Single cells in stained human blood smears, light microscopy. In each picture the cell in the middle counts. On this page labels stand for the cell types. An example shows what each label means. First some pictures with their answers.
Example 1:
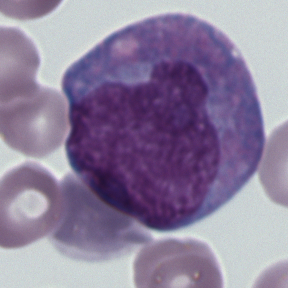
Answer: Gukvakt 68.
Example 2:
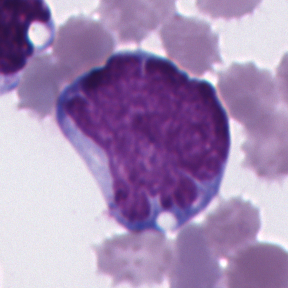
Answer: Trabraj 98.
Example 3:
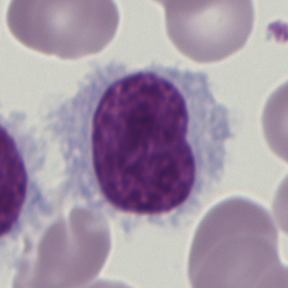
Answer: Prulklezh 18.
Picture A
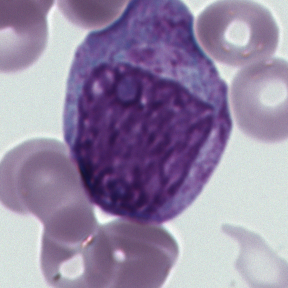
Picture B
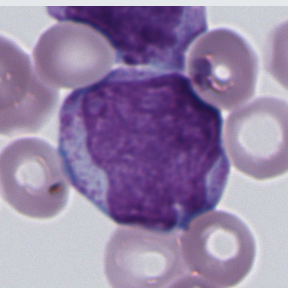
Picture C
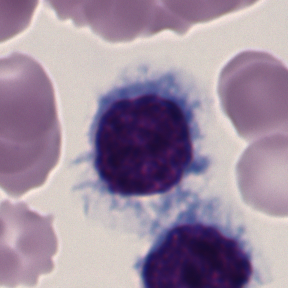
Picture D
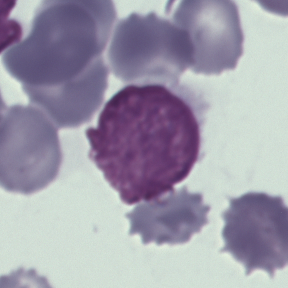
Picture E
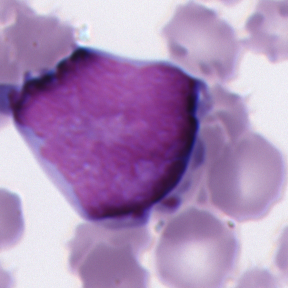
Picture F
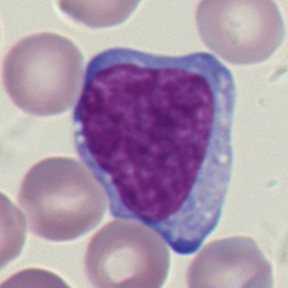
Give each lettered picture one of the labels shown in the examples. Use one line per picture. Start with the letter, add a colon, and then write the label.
A: Gukvakt 68.
B: Gukvakt 68.
C: Prulklezh 18.
D: Trabraj 98.
E: Trabraj 98.
F: Trabraj 98.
